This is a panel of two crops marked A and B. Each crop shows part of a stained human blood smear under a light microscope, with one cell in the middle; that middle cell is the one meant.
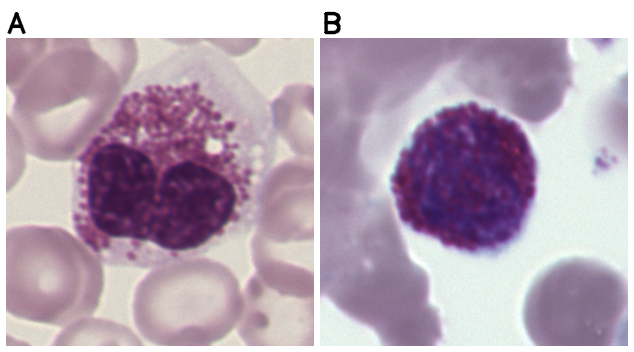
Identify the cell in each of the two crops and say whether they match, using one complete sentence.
Yes, both crops have eosinophils at the centre.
